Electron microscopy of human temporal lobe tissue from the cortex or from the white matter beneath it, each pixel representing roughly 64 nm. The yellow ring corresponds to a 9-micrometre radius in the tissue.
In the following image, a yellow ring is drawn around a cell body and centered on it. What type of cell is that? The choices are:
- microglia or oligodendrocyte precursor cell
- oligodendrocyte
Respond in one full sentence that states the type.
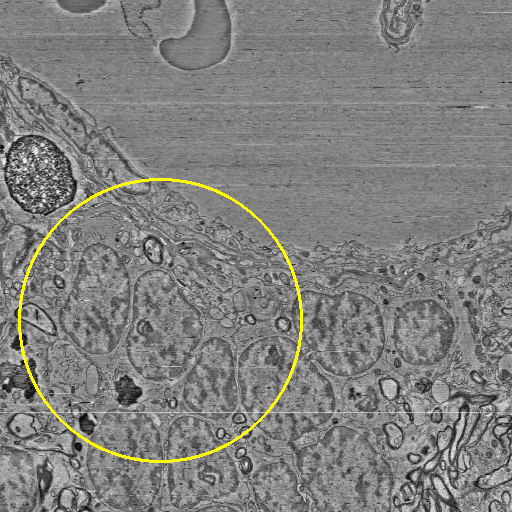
The cell at the center of the yellow ring in the image is an oligodendrocyte.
